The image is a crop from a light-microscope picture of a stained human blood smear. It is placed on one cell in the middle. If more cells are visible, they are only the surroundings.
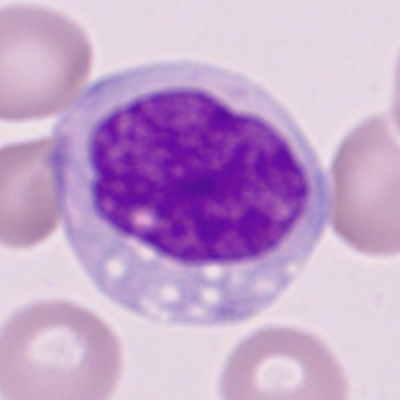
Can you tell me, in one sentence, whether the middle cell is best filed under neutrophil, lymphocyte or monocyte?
The cell the crop is centered on is a monocyte.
